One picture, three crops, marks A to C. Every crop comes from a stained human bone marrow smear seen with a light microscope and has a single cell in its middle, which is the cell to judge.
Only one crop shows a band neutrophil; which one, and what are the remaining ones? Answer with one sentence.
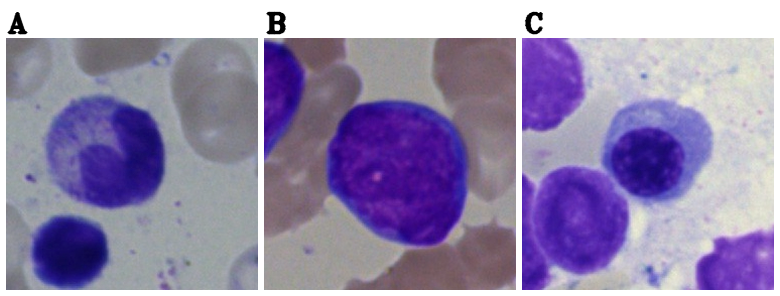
The cell centred in crop A is a band neutrophil; by contrast, crop B is a blast and crop C is an erythroblast.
